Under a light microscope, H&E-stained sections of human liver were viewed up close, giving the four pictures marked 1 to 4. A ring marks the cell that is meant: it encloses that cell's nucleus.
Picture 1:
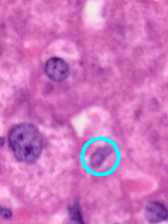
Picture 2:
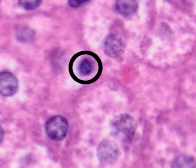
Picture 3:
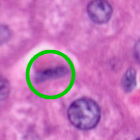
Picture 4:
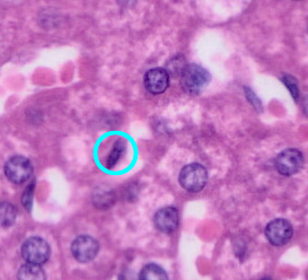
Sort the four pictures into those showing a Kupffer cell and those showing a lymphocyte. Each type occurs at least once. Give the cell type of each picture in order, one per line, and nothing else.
Kupffer cell
lymphocyte
Kupffer cell
Kupffer cell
